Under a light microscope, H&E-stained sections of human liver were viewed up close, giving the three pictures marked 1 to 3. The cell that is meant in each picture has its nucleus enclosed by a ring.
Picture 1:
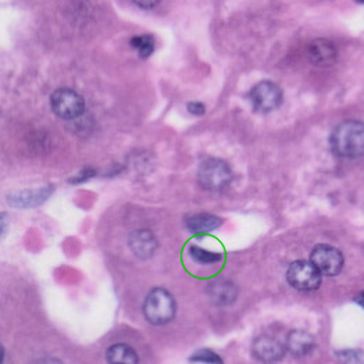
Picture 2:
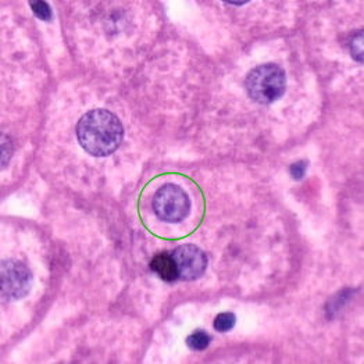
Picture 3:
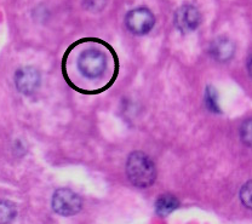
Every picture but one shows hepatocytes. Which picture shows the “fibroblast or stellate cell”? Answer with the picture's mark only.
1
